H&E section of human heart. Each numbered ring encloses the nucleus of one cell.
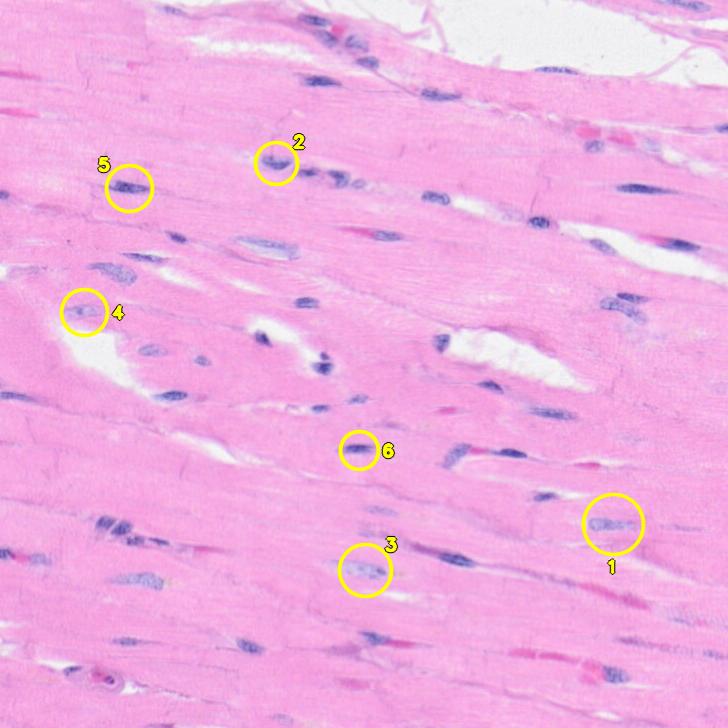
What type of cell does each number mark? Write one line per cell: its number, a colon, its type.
1: cardiomyocyte
2: fibroblast
3: cardiomyocyte
4: cardiomyocyte
5: endothelial cell
6: endothelial cell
